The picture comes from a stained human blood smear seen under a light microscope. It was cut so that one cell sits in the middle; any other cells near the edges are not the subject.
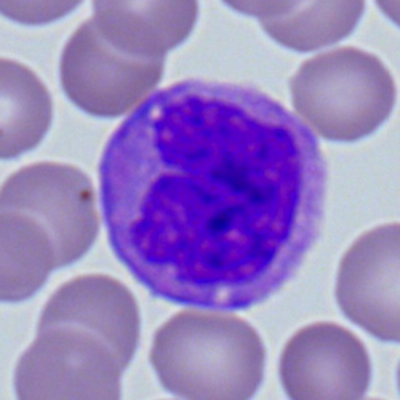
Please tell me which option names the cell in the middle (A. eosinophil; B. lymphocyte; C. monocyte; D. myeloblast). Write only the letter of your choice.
C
